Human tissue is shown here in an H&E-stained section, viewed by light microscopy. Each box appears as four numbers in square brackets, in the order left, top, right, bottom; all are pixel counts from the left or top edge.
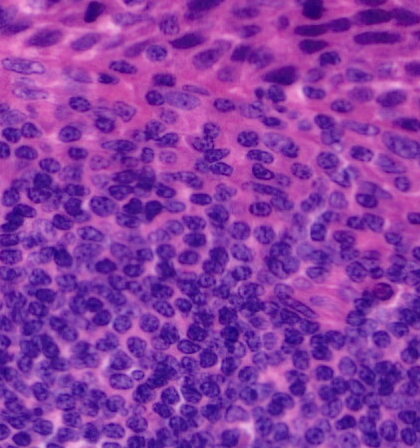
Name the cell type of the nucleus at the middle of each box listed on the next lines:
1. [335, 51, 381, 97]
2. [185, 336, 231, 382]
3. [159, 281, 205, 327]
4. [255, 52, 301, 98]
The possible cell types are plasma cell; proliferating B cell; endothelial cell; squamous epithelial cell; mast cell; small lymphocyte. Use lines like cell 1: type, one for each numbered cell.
cell 1: squamous epithelial cell
cell 2: small lymphocyte
cell 3: small lymphocyte
cell 4: squamous epithelial cell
